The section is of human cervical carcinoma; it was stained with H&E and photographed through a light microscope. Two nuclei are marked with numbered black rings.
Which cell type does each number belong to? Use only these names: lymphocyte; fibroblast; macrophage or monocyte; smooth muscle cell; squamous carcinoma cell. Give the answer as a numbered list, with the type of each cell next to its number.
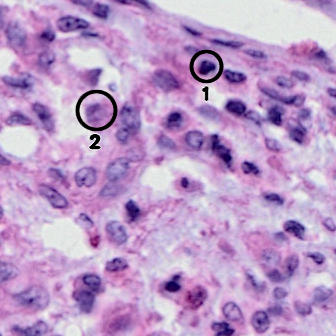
1. lymphocyte
2. macrophage or monocyte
